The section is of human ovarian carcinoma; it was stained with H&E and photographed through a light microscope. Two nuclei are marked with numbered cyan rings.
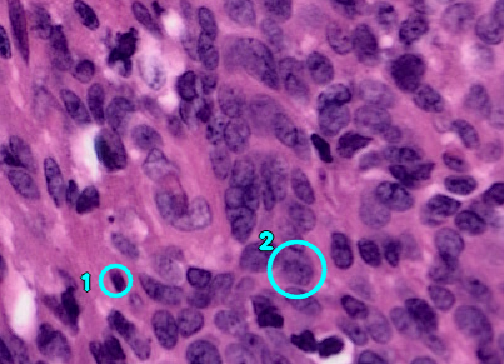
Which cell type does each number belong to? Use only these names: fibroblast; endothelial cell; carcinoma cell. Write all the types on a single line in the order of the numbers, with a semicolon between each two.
endothelial cell; carcinoma cell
